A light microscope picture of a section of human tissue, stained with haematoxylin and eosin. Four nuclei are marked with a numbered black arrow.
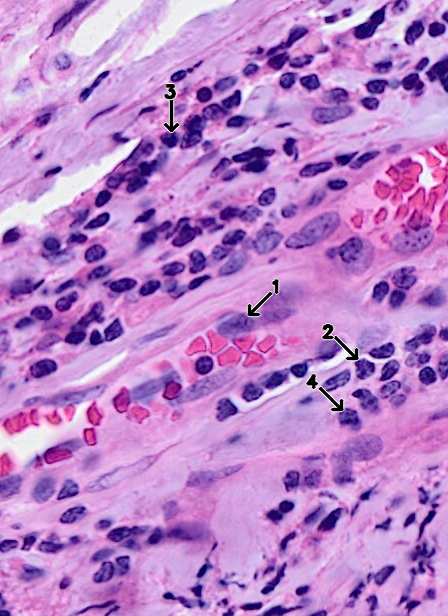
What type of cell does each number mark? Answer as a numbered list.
1. endothelial cell
2. lymphocyte
3. lymphocyte
4. lymphocyte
